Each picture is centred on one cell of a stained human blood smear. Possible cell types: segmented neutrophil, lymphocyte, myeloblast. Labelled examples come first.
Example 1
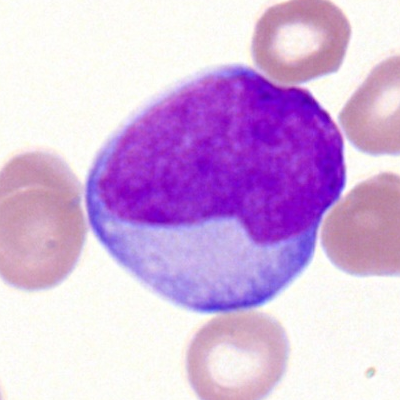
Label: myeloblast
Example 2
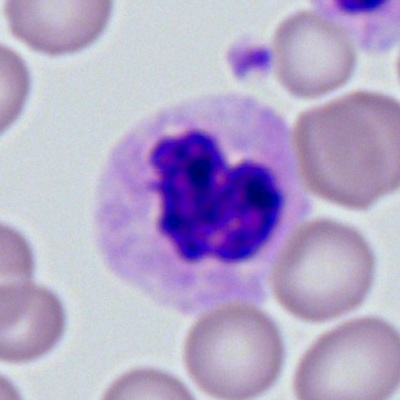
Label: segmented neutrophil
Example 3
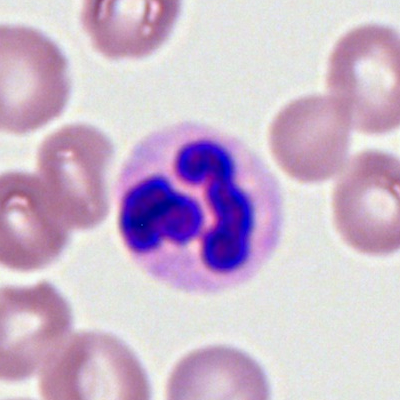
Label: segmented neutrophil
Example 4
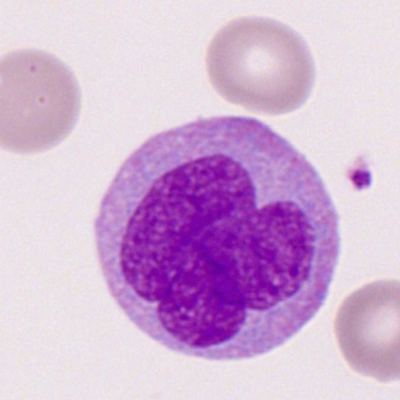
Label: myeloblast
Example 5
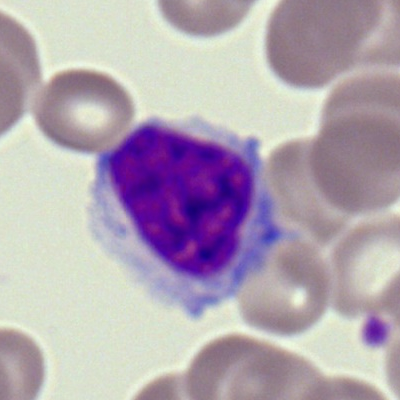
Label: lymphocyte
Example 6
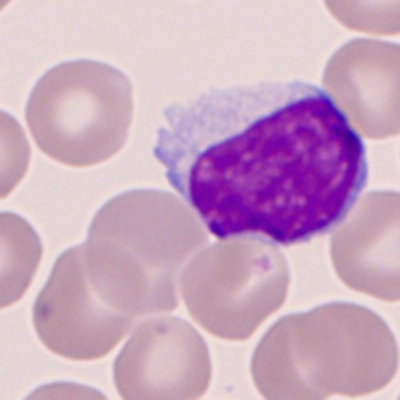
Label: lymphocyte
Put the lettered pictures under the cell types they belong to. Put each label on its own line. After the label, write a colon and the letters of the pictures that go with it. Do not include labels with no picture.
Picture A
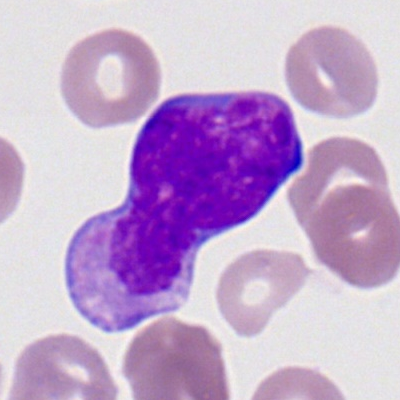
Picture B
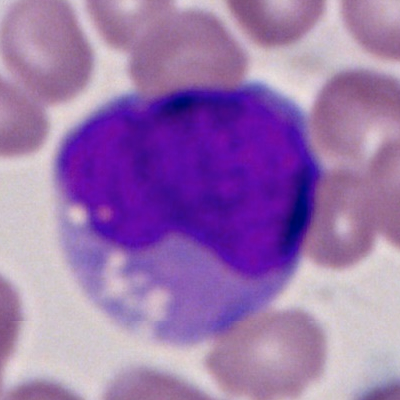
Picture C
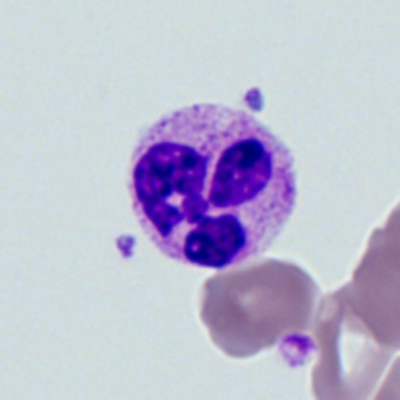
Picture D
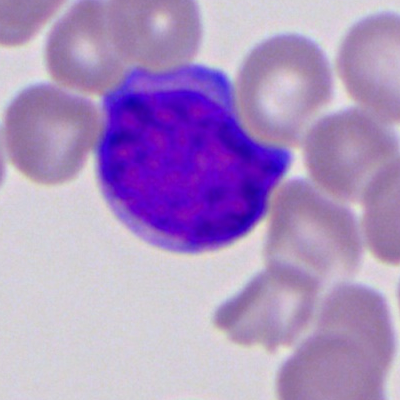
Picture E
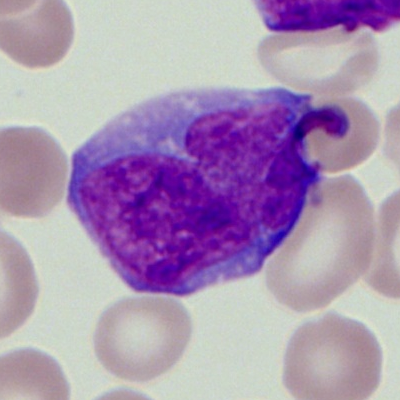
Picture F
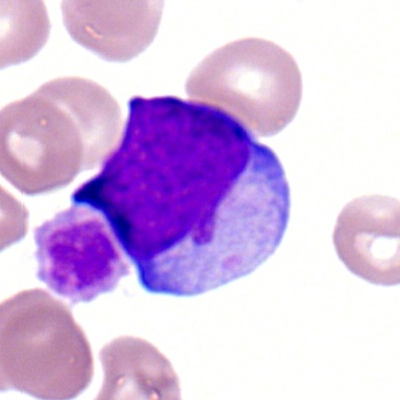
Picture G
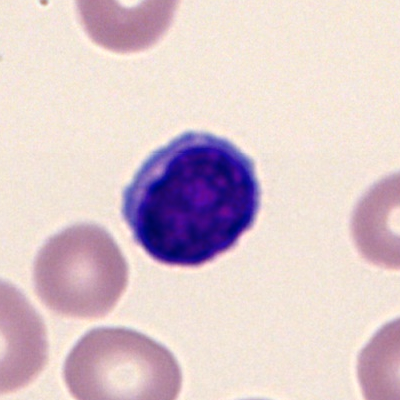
segmented neutrophil: C
lymphocyte: G
myeloblast: A, B, D, E, F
